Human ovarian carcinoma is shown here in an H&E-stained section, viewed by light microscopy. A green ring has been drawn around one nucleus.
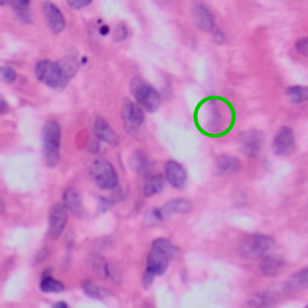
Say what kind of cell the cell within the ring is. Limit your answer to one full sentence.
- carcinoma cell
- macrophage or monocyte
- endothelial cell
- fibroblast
The cell type of the cell within the ring is that of a fibroblast.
